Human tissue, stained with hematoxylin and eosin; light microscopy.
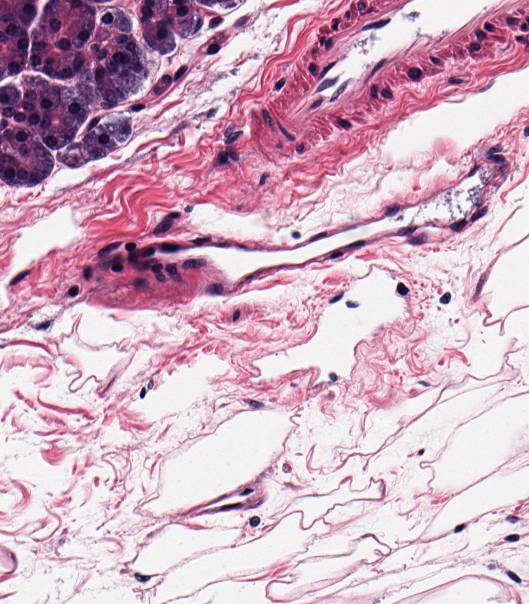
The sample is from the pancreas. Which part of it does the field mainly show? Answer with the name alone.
loose connective tissue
